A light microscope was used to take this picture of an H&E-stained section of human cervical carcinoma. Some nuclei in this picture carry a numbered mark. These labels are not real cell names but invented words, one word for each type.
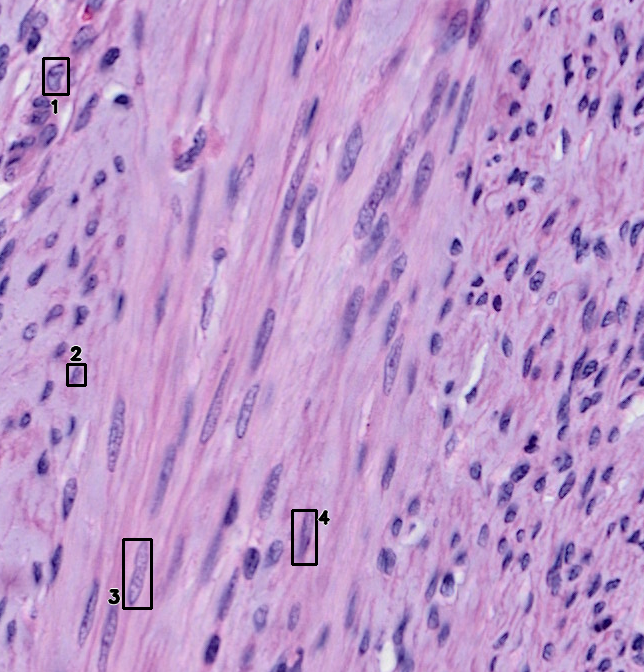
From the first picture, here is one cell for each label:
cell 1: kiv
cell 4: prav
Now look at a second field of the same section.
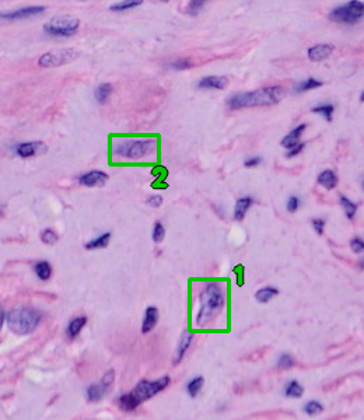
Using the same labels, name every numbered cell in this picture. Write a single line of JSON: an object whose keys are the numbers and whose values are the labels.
{"1": "kiv", "2": "prav"}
